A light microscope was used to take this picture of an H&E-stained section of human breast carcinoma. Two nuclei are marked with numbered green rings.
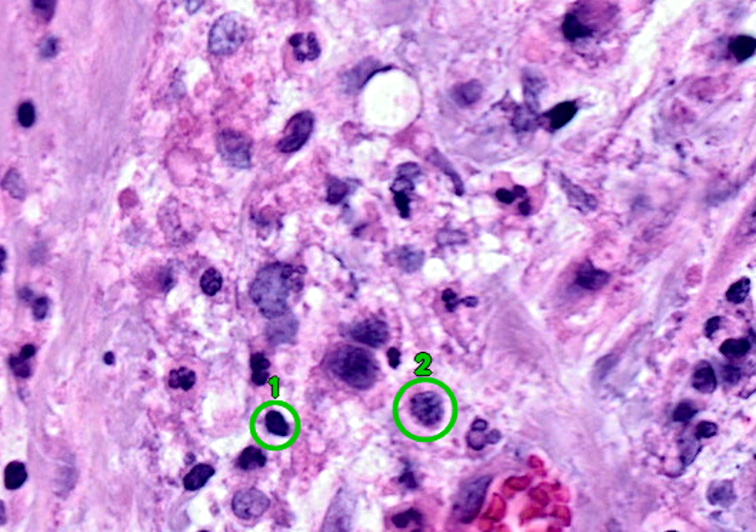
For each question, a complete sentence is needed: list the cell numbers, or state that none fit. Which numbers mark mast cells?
Of the marked cells, the one numbered 2 is a mast cell and the rest are not.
